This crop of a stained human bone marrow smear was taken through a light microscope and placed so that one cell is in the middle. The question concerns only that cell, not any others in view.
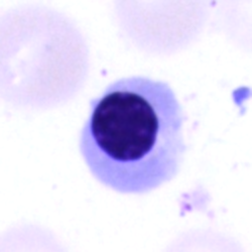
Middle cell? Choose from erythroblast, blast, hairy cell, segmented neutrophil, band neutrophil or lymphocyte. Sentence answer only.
In the crop, the cell of interest at the centre is an erythroblast.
